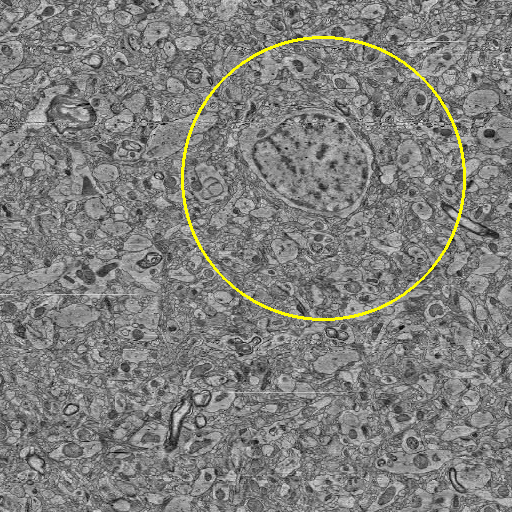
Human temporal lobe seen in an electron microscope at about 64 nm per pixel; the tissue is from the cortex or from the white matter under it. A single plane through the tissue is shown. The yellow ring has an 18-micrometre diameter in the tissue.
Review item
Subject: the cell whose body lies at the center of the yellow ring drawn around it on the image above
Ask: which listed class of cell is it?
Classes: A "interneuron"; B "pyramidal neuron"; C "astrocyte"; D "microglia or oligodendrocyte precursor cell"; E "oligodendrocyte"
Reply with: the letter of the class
D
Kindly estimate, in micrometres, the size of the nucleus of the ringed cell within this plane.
The nucleus comes to roughly 7 by 6 micrometres in this plane.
